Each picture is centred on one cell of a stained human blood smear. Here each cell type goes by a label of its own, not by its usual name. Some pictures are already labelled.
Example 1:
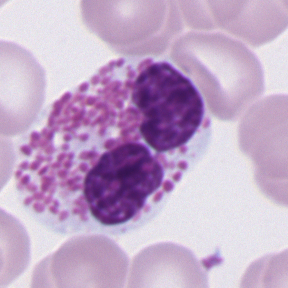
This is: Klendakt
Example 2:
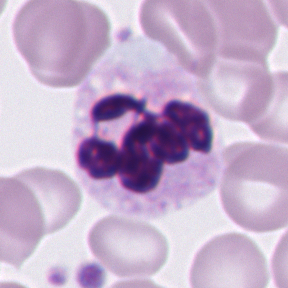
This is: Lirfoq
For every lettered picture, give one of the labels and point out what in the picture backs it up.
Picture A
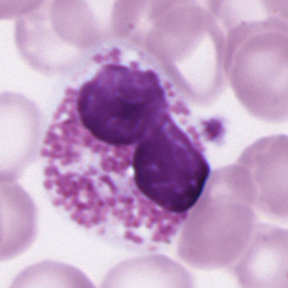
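Klendakt. The granules are coarse and of fairly even size.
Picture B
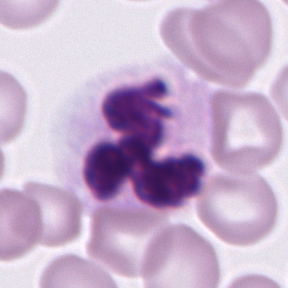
Lirfoq. The cytoplasm holds only fine, faint granules.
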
